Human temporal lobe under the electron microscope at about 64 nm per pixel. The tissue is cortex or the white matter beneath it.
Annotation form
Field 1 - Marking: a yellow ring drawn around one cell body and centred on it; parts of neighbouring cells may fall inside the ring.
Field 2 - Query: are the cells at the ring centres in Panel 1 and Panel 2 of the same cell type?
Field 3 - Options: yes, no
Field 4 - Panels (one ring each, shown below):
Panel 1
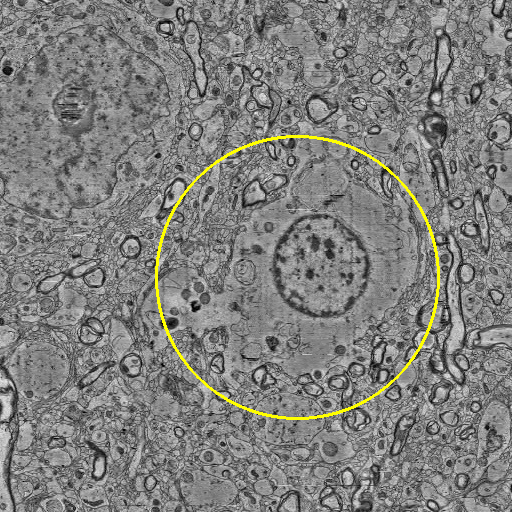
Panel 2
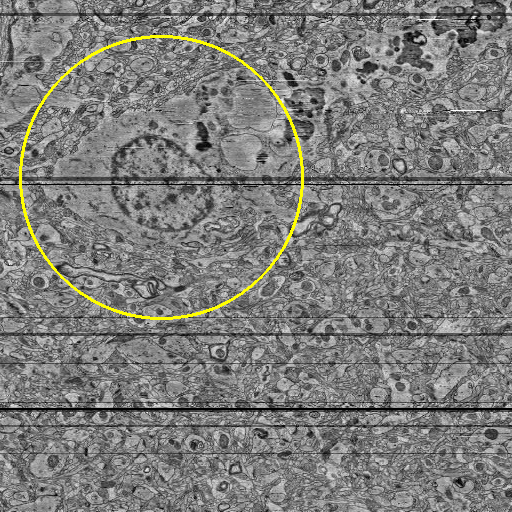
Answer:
yes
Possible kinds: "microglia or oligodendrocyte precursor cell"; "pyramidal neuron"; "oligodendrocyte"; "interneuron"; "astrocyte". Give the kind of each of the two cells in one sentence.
Both the first and the second picture show an astrocyte in the ring.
